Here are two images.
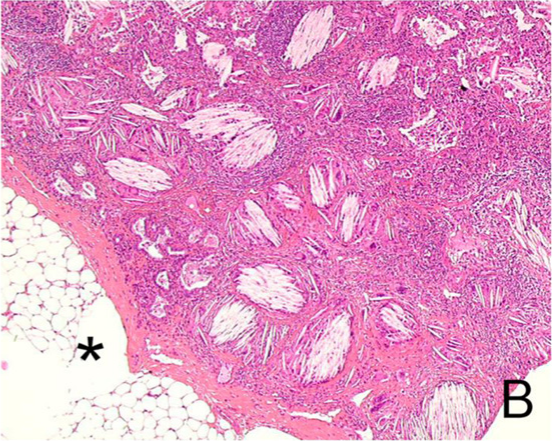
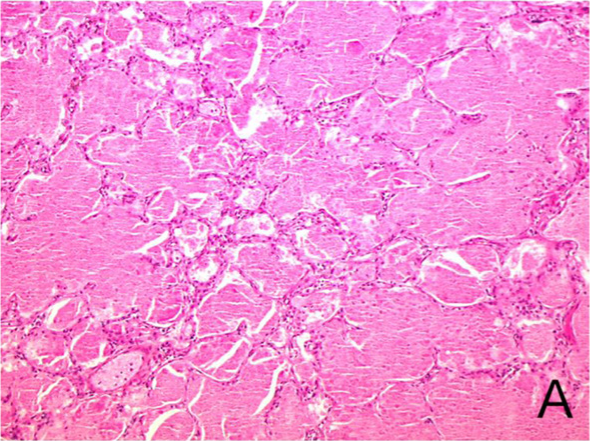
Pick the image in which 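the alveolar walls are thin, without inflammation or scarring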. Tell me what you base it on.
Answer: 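First image: the tissue between clefts is dense with many nuclei and fibrous tissue. Second image: thin, delicate walls separate alveoli filled with pink material. So: the second image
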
